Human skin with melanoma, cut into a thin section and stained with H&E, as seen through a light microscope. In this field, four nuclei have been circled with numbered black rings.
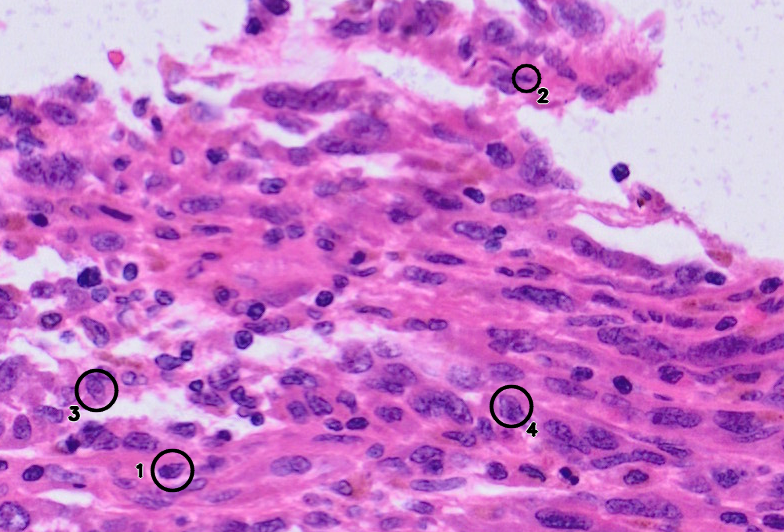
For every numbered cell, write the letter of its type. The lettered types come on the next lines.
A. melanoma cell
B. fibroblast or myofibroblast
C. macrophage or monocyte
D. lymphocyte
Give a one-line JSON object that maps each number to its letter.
{"1": "D", "2": "A", "3": "A", "4": "A"}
